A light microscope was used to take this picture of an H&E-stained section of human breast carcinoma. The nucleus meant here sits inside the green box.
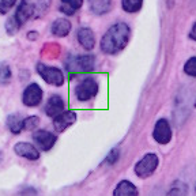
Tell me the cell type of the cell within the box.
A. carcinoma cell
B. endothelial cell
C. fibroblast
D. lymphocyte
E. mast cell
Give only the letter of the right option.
D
